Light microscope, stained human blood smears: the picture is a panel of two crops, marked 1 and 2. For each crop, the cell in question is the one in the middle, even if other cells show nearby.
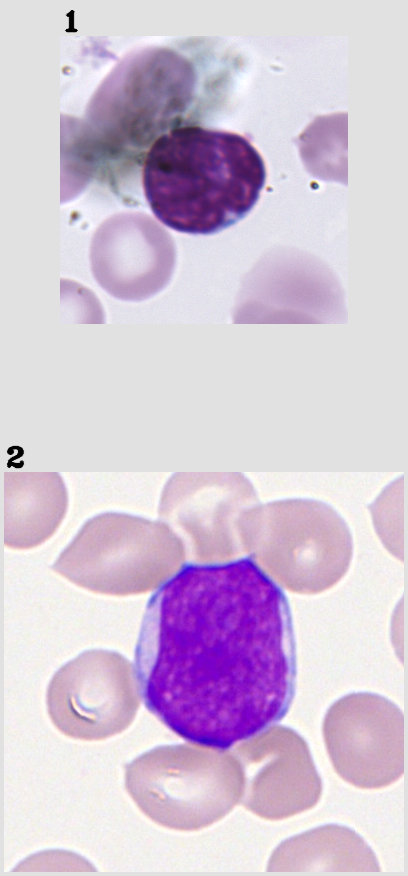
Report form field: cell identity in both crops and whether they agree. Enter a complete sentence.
No, a lymphocyte is what crop 1 shows, and a blast is what crop 2 shows.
